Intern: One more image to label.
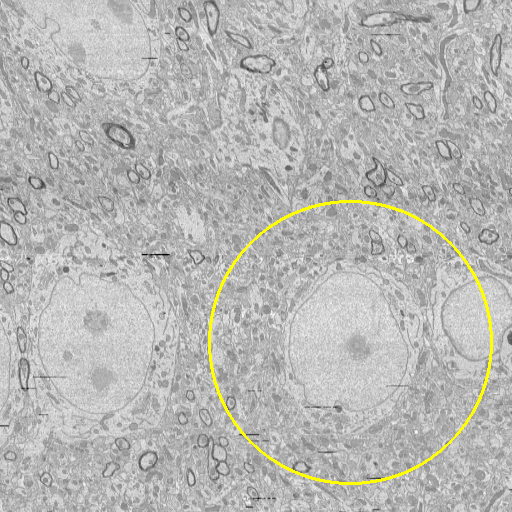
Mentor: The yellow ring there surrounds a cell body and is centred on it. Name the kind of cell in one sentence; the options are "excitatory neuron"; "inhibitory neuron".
The ring marks the cell body of an excitatory neuron.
